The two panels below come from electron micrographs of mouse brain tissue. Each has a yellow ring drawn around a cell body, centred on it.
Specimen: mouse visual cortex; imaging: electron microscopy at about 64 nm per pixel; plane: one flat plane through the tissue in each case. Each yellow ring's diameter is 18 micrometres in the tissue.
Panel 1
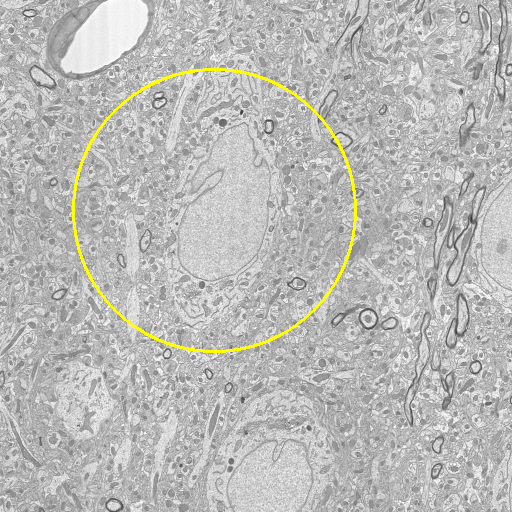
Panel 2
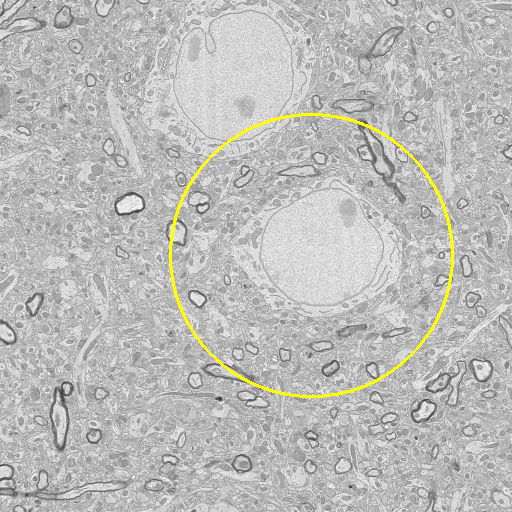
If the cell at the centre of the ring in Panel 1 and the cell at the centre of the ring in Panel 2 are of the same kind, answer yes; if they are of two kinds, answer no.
no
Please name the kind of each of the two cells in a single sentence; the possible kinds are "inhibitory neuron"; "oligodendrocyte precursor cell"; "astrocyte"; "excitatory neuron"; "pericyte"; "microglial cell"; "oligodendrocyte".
In the first picture the ring is centred on an inhibitory neuron, and in the second on an excitatory neuron.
